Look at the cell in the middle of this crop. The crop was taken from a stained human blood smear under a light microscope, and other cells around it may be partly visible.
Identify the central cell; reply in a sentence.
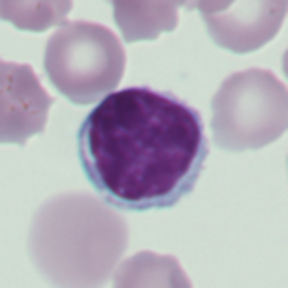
The central cell shown in this smear crop is a typical lymphocyte.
